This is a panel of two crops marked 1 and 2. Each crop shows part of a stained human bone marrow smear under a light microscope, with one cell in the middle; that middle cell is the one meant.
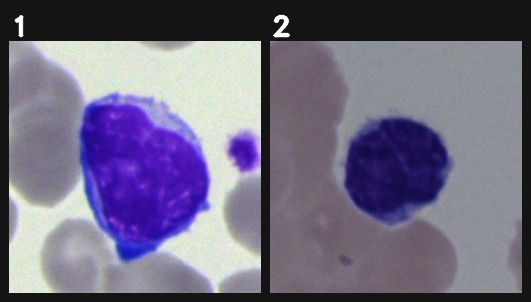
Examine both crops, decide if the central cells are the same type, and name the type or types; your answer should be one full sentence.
No, crop 1 holds a blast, and a lymphocyte occupies crop 2.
